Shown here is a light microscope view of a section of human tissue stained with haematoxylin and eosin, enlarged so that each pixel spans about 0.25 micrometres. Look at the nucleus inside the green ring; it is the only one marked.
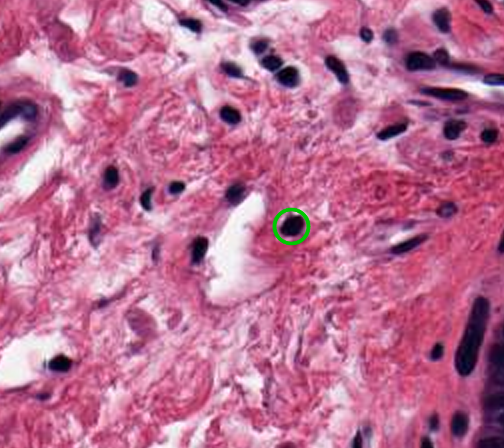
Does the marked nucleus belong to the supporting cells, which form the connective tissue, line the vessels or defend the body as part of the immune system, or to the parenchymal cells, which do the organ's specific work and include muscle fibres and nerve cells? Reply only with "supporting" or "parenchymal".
supporting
